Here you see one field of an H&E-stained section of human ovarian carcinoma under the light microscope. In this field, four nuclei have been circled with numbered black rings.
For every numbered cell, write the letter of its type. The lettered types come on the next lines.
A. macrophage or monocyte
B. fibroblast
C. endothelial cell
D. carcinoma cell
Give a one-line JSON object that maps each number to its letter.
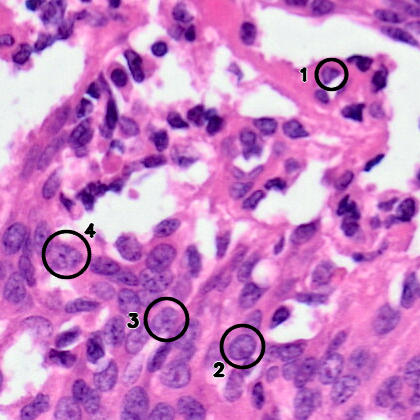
{"1": "C", "2": "D", "3": "D", "4": "D"}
